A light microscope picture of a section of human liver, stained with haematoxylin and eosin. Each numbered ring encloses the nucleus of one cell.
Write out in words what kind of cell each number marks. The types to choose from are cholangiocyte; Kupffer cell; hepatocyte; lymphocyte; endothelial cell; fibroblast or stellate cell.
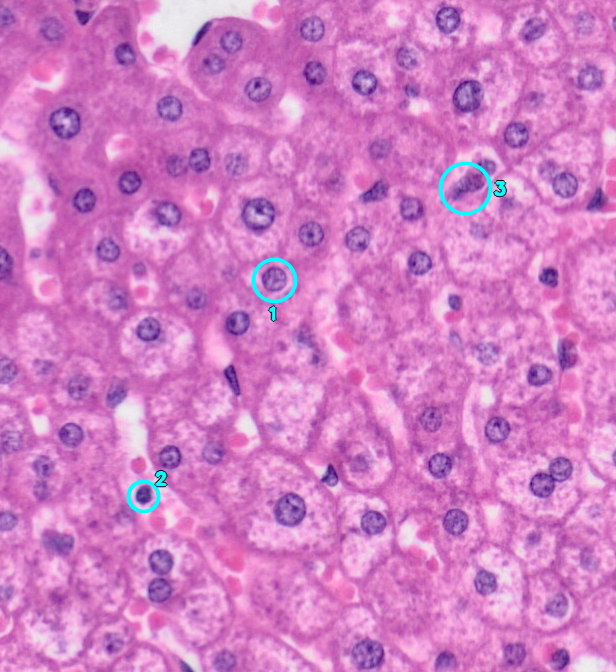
Cell 1 is a hepatocyte, cell 2 is a lymphocyte and cell 3 is a Kupffer cell.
